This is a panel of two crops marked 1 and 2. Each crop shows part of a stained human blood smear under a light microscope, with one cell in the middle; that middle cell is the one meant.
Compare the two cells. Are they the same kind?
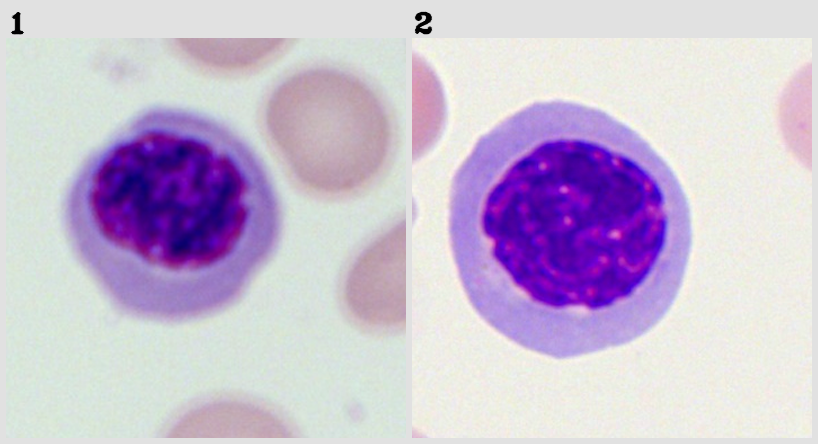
yes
